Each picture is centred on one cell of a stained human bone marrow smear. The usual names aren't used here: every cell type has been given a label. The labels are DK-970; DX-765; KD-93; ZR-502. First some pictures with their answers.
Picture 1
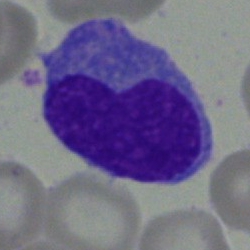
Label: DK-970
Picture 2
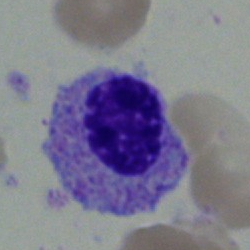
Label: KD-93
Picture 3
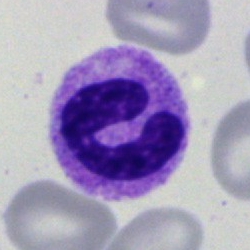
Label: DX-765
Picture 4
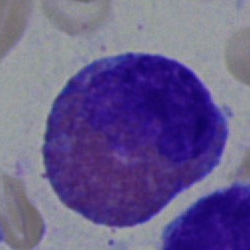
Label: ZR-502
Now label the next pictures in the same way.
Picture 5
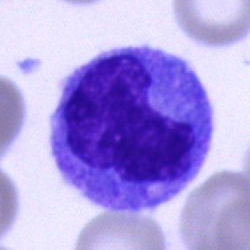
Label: DK-970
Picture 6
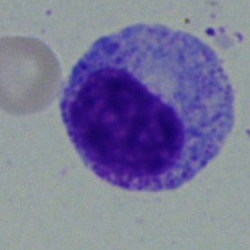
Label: KD-93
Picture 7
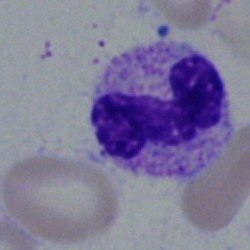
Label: DX-765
